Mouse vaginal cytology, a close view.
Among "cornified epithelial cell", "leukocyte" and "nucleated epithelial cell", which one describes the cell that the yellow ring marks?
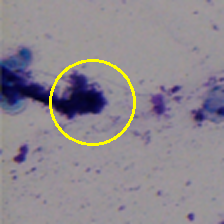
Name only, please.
cornified epithelial cell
